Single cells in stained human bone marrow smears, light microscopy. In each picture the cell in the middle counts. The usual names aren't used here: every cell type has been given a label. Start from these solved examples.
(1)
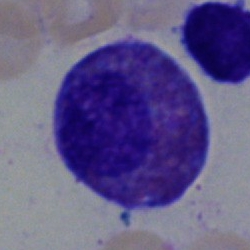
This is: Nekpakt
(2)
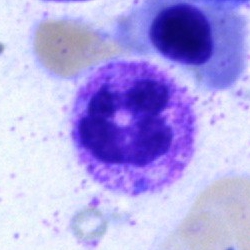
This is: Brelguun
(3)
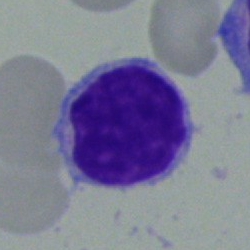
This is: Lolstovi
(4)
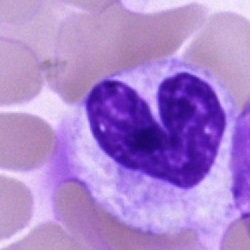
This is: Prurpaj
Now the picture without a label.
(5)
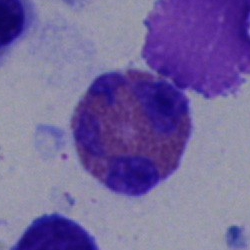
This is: Nekpakt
